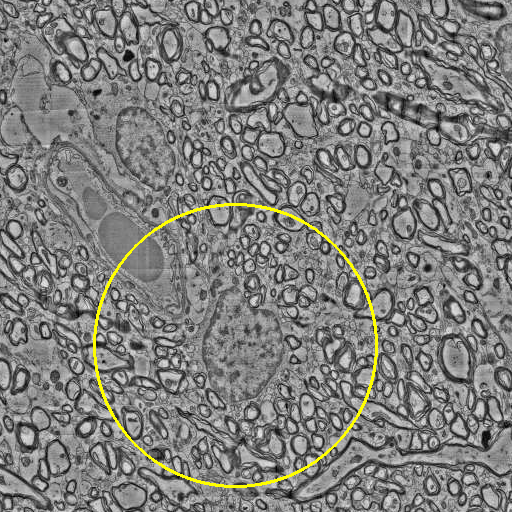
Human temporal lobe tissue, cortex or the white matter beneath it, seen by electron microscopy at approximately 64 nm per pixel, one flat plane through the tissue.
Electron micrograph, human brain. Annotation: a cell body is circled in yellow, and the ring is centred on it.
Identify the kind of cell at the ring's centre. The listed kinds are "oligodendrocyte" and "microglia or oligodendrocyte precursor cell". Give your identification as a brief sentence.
The circled cell body is that of an oligodendrocyte.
